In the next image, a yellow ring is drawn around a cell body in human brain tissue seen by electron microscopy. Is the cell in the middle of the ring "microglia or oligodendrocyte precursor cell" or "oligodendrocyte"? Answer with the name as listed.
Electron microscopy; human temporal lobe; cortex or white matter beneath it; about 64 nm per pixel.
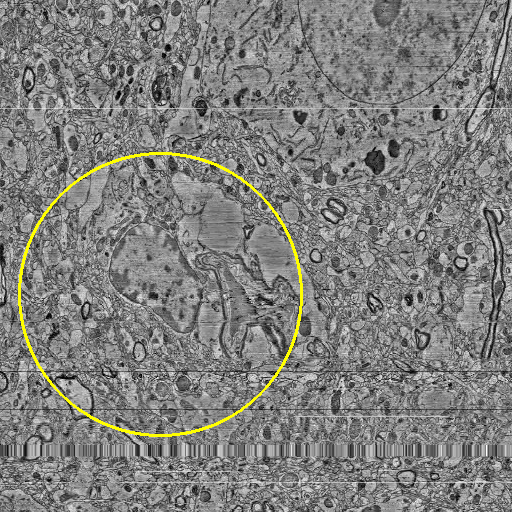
microglia or oligodendrocyte precursor cell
